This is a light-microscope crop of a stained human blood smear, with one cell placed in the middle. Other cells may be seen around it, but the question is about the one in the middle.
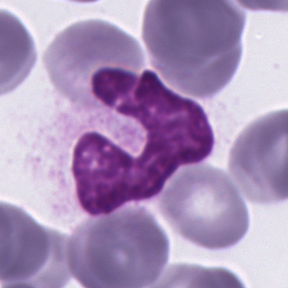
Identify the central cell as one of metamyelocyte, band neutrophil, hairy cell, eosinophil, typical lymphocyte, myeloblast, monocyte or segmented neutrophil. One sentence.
The cell featured at the centre of this crop is a band neutrophil.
